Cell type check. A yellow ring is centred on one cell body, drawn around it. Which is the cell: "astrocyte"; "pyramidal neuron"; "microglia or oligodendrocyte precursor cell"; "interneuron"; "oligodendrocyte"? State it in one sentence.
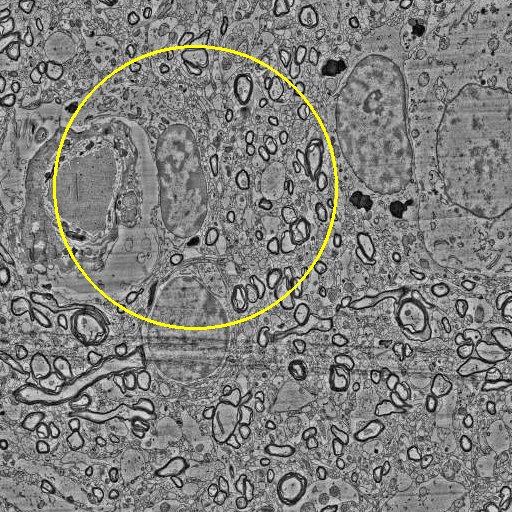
The cell body at the ring's centre belongs to a microglial cell or oligodendrocyte precursor cell.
